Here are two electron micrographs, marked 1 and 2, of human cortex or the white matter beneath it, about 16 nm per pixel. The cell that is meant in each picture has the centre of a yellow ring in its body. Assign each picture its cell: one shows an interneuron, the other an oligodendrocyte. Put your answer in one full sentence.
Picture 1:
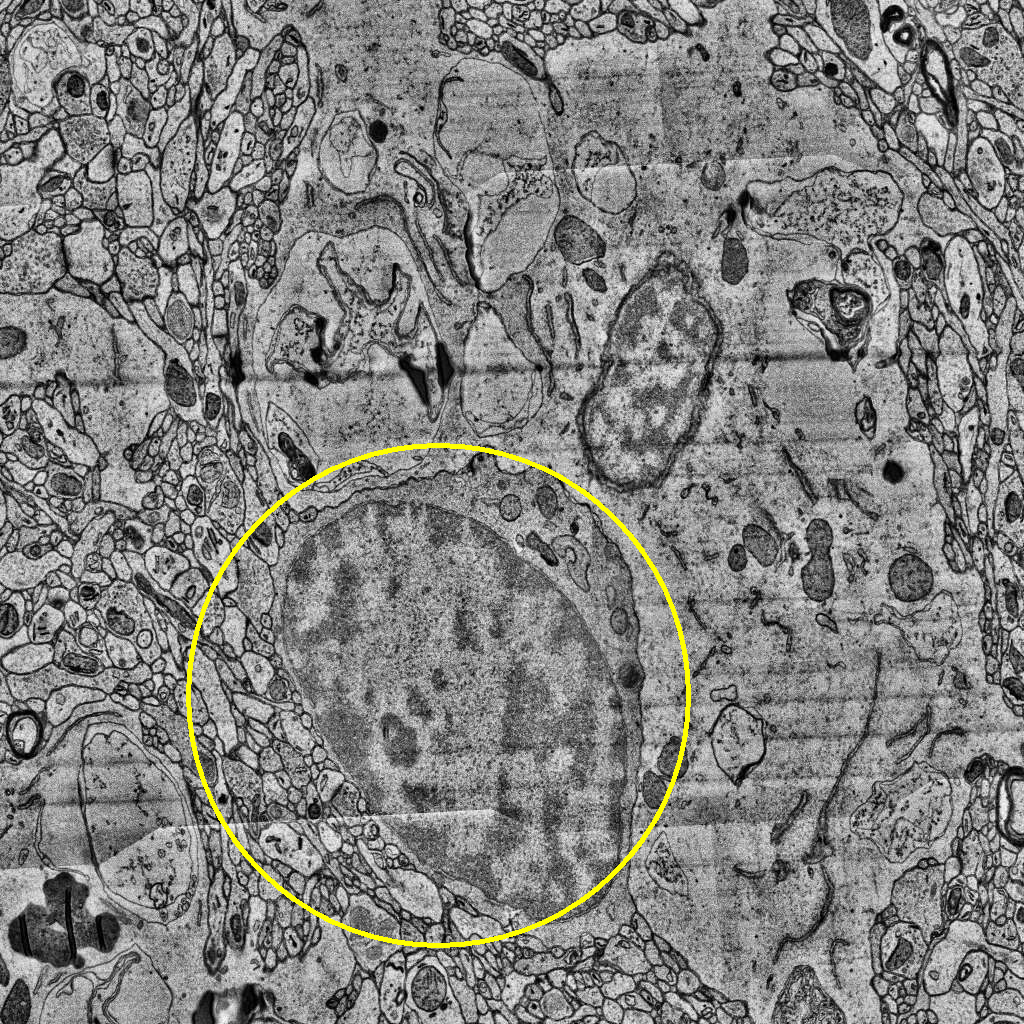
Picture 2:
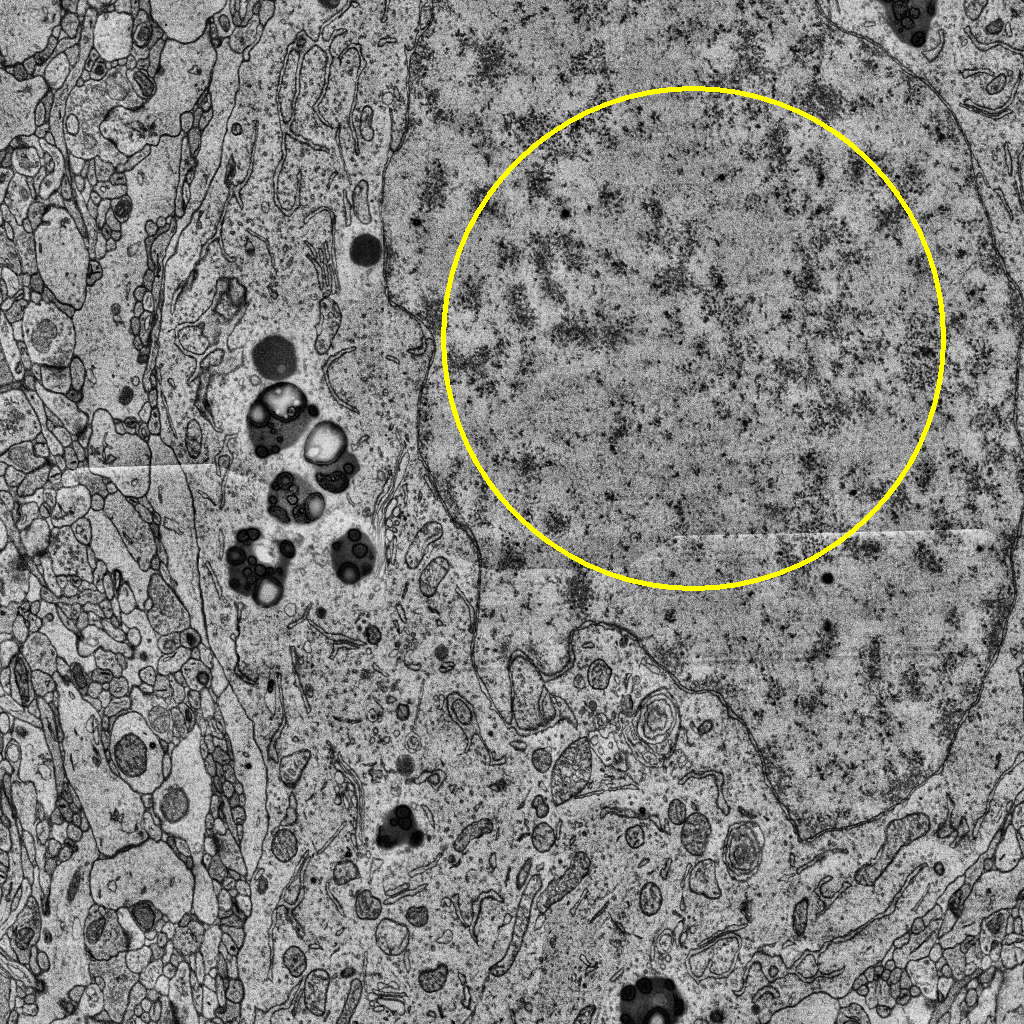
Picture 2 shows an interneuron, while picture 1 shows an oligodendrocyte.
